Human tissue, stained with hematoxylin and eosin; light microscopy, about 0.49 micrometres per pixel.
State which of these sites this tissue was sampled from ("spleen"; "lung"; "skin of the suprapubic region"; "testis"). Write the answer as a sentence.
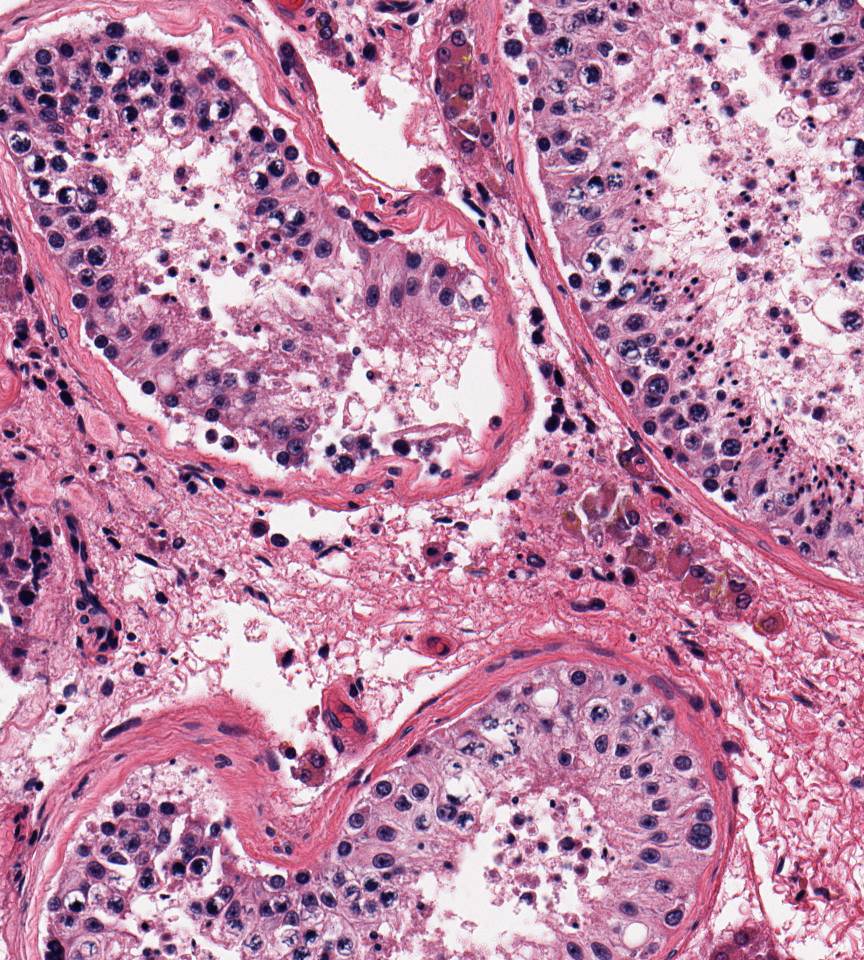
The site this tissue was sampled from is the testis.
